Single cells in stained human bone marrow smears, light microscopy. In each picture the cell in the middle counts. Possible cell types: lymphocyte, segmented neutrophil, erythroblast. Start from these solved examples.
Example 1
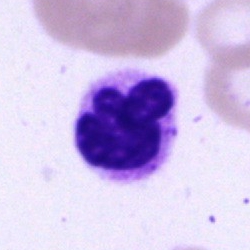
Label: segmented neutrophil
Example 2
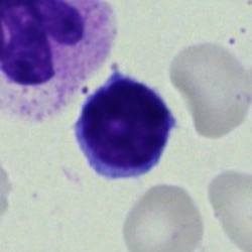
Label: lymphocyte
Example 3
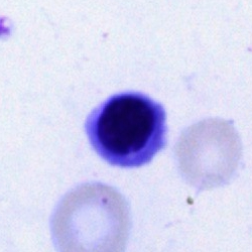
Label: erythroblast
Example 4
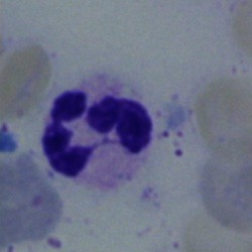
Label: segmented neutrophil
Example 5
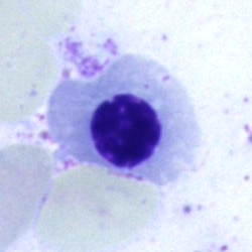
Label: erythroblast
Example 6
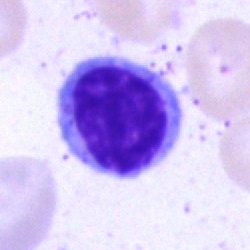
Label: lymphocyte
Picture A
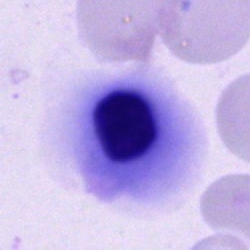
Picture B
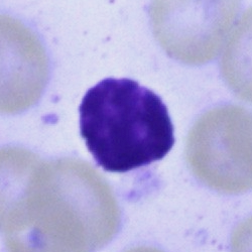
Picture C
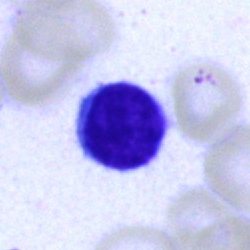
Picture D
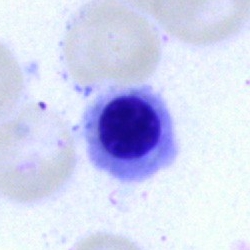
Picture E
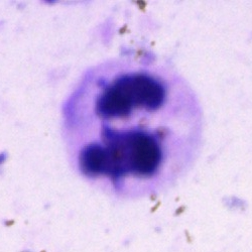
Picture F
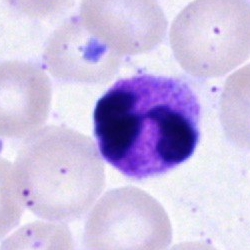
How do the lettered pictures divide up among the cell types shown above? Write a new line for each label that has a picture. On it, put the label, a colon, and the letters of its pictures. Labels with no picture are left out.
lymphocyte: B, C
segmented neutrophil: E, F
erythroblast: A, D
